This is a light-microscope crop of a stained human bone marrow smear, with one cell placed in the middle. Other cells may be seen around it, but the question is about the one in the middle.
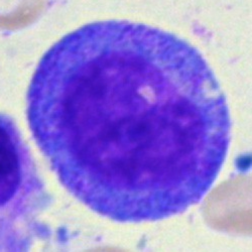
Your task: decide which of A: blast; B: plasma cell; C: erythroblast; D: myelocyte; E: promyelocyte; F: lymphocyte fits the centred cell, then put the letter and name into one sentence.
The cell in the middle is a promyelocyte, and that makes option E correct.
